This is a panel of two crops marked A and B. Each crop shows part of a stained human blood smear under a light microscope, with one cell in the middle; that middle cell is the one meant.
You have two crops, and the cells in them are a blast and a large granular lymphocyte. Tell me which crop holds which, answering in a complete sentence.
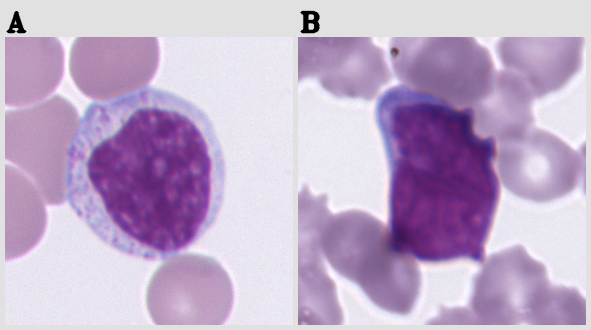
Crop A depicts a large granular lymphocyte, and a blast is depicted in crop B.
